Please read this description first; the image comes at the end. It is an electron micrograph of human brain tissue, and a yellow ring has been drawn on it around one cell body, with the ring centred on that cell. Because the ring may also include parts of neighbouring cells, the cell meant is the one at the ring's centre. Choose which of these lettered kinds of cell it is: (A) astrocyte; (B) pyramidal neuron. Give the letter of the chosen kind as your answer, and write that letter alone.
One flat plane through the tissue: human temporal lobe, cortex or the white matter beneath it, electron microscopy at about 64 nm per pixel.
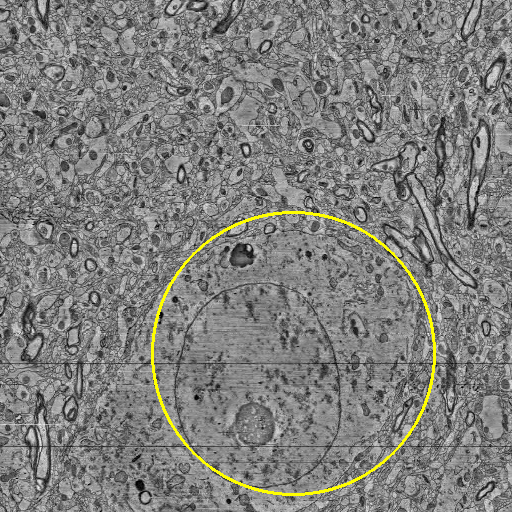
B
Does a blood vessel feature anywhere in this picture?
No, there is no blood vessel in the image.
